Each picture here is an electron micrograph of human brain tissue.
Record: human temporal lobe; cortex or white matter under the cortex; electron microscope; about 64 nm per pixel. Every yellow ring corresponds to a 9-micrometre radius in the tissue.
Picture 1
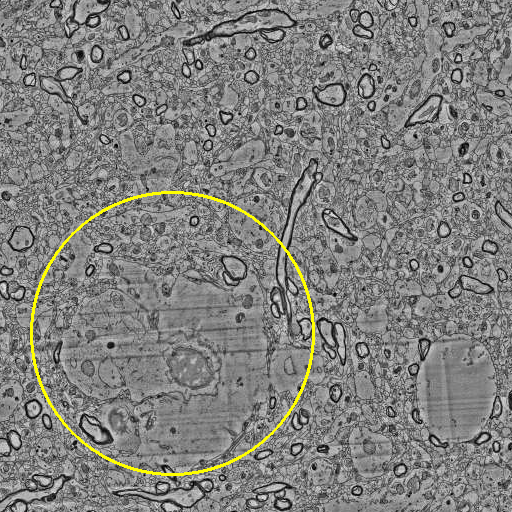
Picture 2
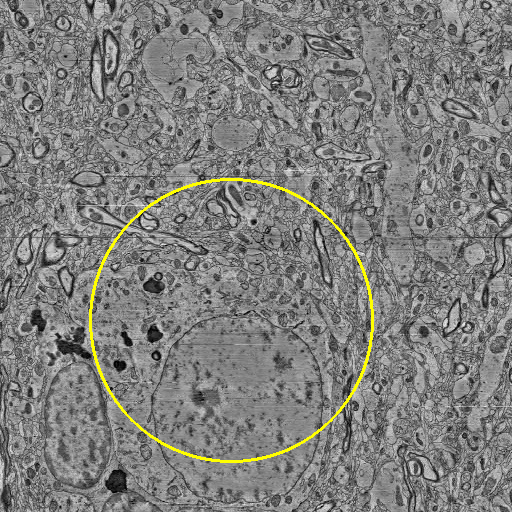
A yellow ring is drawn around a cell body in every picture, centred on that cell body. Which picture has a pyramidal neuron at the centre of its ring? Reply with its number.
2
